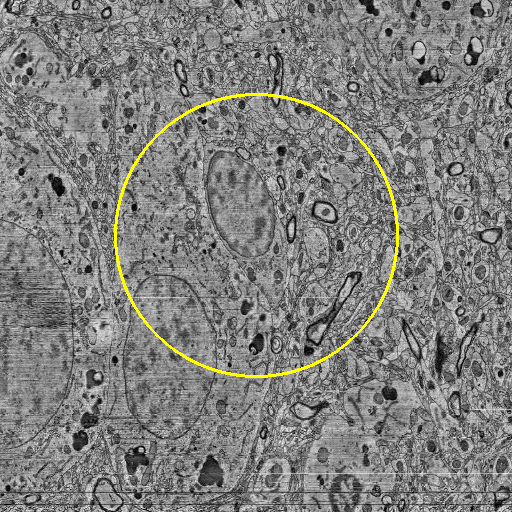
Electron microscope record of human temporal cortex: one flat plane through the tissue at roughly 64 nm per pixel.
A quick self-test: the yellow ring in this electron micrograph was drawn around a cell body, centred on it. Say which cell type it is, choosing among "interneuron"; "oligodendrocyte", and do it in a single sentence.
The yellow-ringed cell is an oligodendrocyte.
